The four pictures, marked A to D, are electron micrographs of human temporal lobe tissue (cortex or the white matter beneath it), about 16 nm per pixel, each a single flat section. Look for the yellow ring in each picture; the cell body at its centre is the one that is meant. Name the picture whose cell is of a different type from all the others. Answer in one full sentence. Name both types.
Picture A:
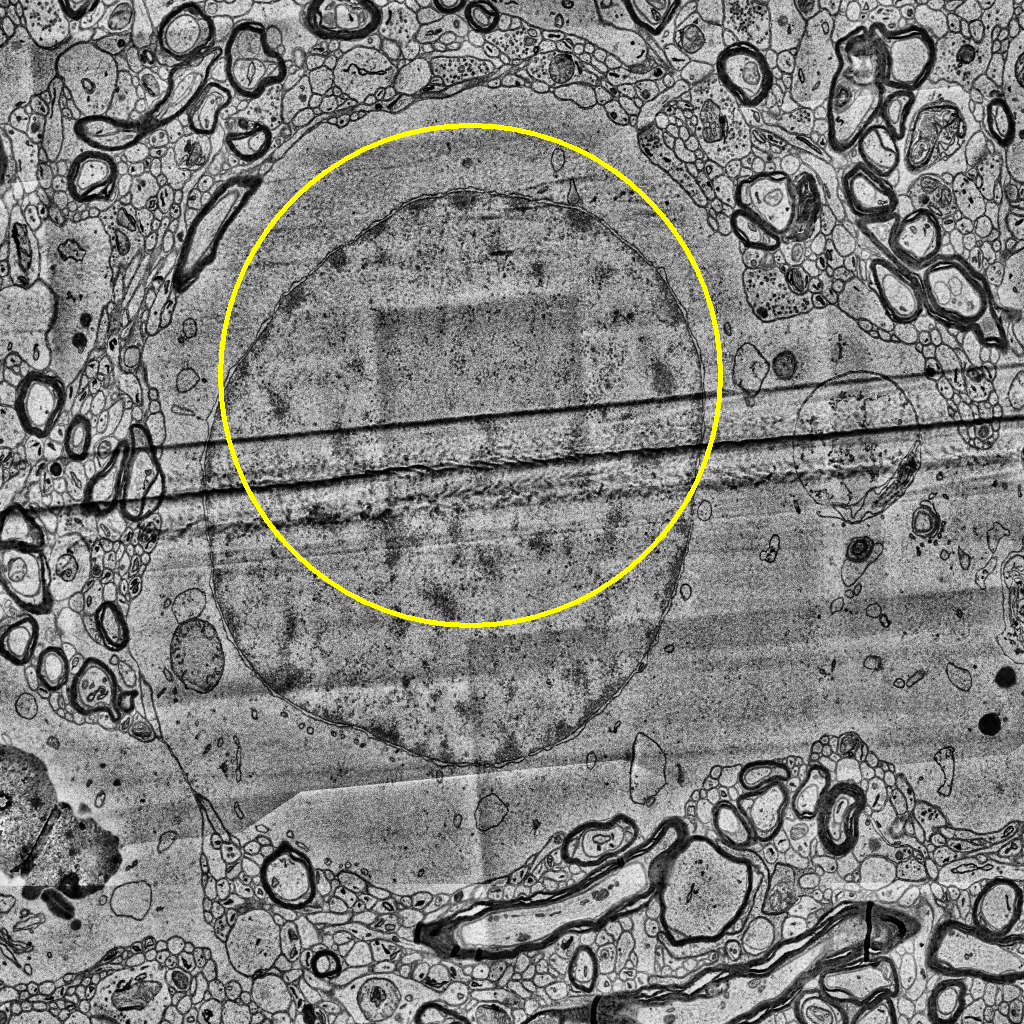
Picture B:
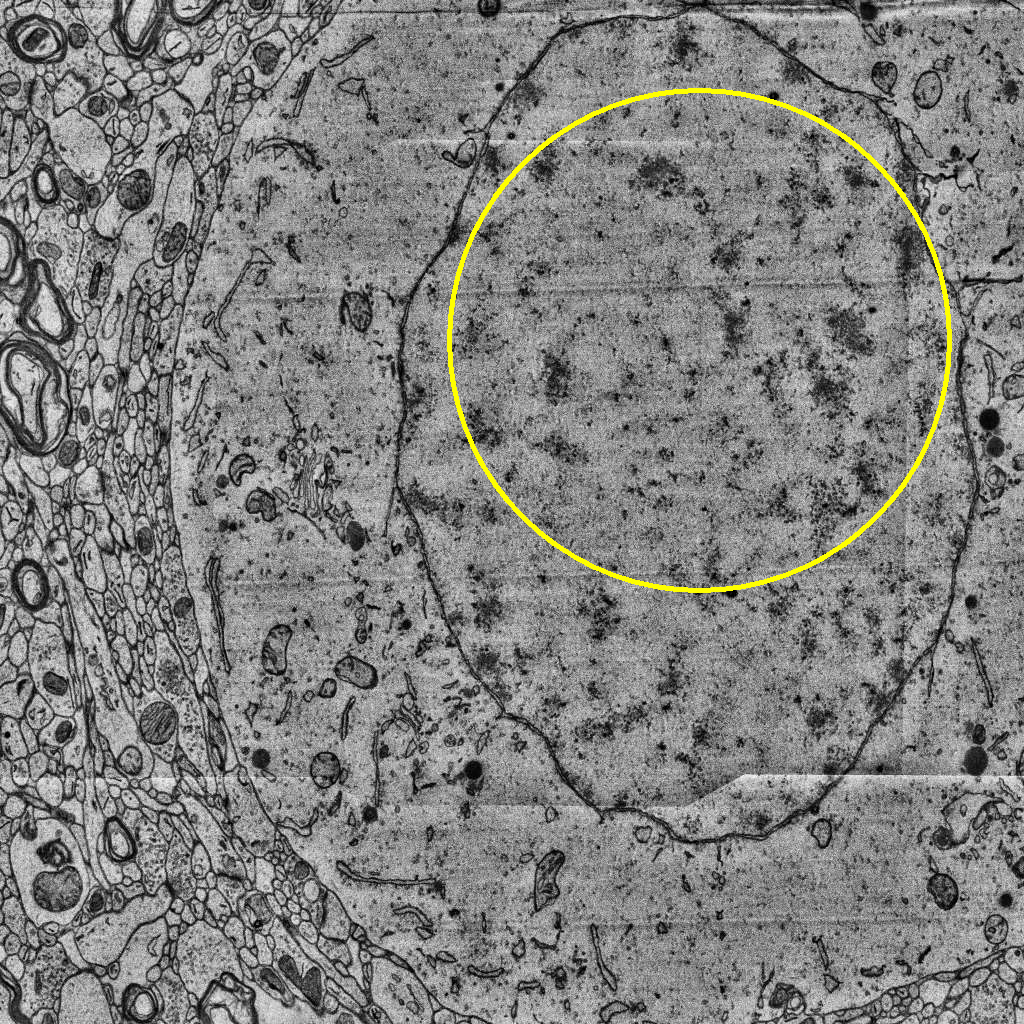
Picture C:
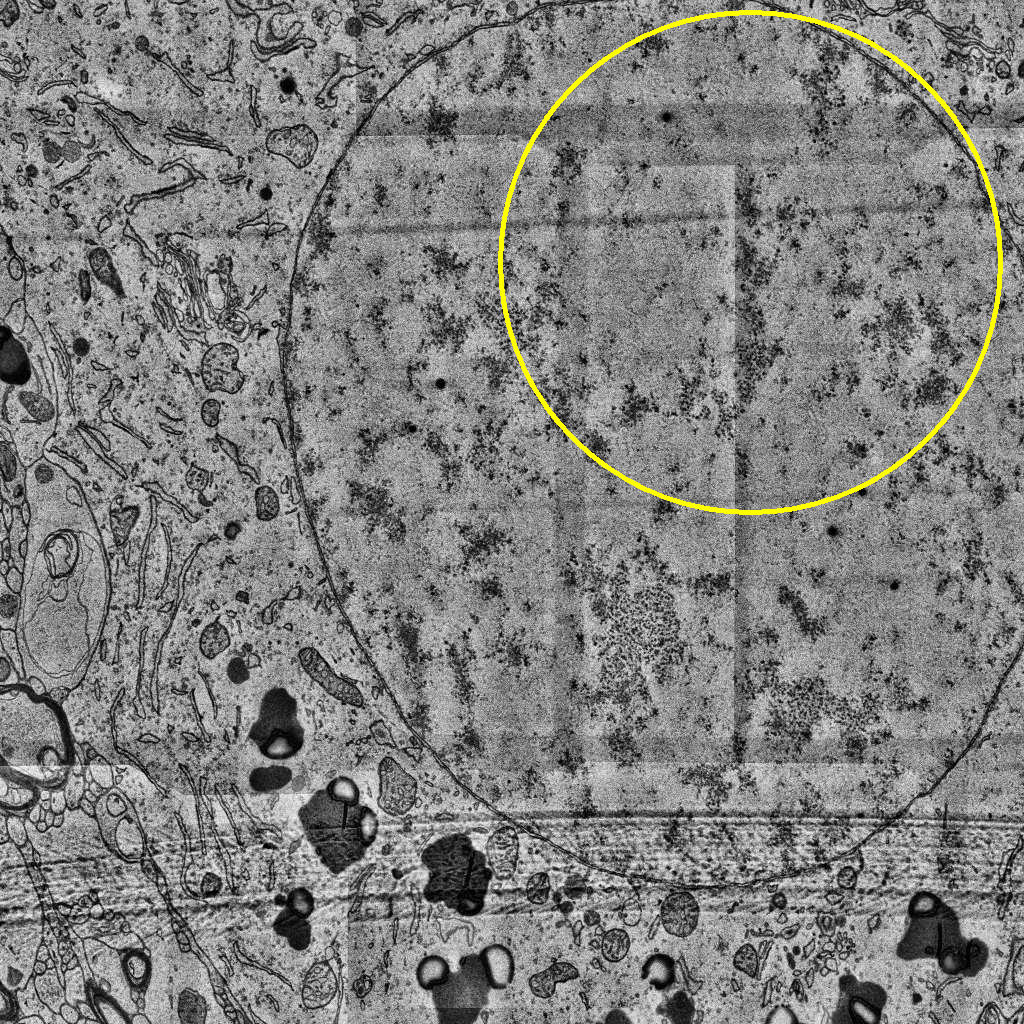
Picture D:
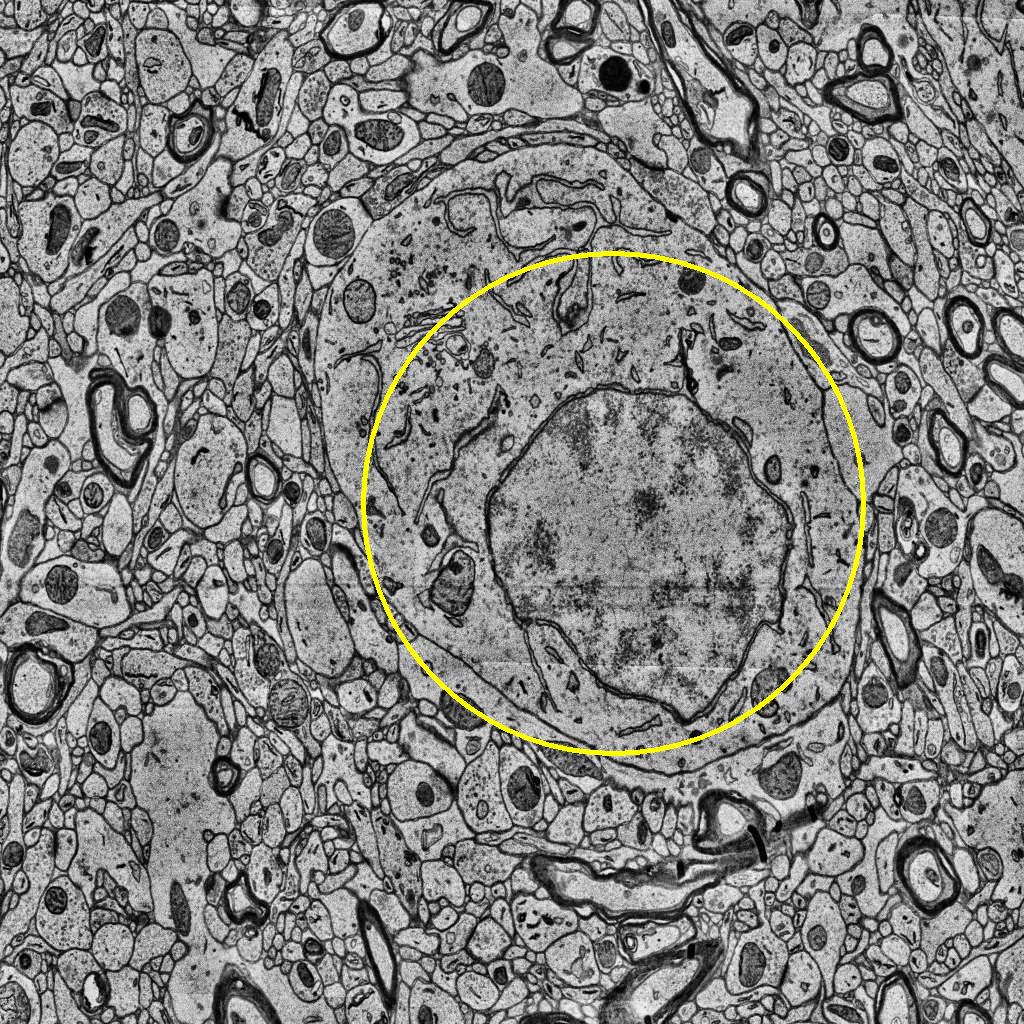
Picture A is the odd one out: it shows an astrocyte, while the others show pyramidal neurons.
